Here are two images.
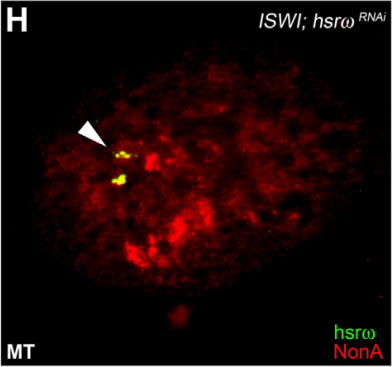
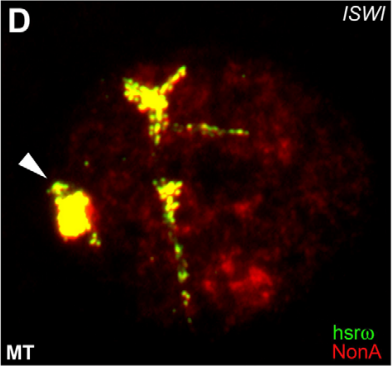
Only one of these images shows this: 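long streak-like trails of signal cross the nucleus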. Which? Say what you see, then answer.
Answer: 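First image: only a couple of small yellow-green dots, red signal in scattered patches without long streaks. Second image: long yellow-green streaks extend across the nucleus from a bright patch.
Answer: the second image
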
